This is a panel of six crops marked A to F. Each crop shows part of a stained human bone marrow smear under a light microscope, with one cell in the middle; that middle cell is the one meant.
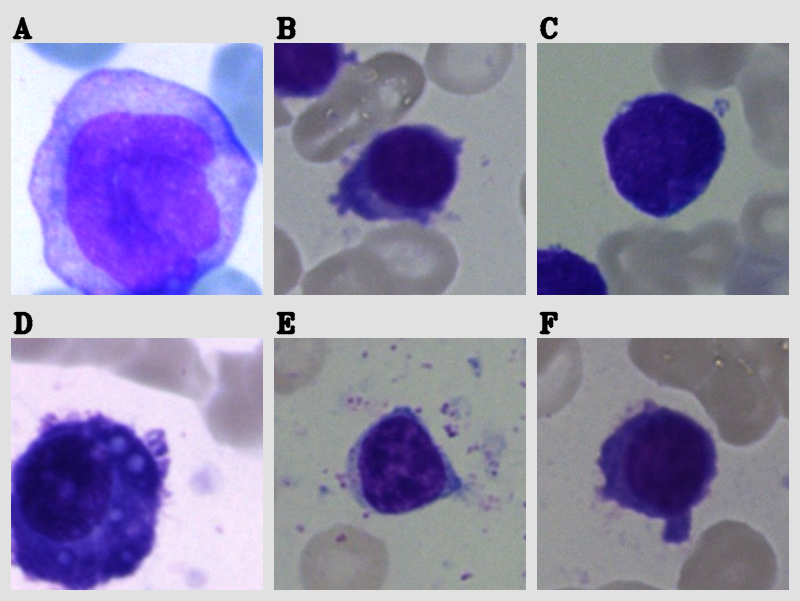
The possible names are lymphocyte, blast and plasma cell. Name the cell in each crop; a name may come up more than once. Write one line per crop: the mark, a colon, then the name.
A: blast
B: plasma cell
C: blast
D: plasma cell
E: lymphocyte
F: plasma cell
